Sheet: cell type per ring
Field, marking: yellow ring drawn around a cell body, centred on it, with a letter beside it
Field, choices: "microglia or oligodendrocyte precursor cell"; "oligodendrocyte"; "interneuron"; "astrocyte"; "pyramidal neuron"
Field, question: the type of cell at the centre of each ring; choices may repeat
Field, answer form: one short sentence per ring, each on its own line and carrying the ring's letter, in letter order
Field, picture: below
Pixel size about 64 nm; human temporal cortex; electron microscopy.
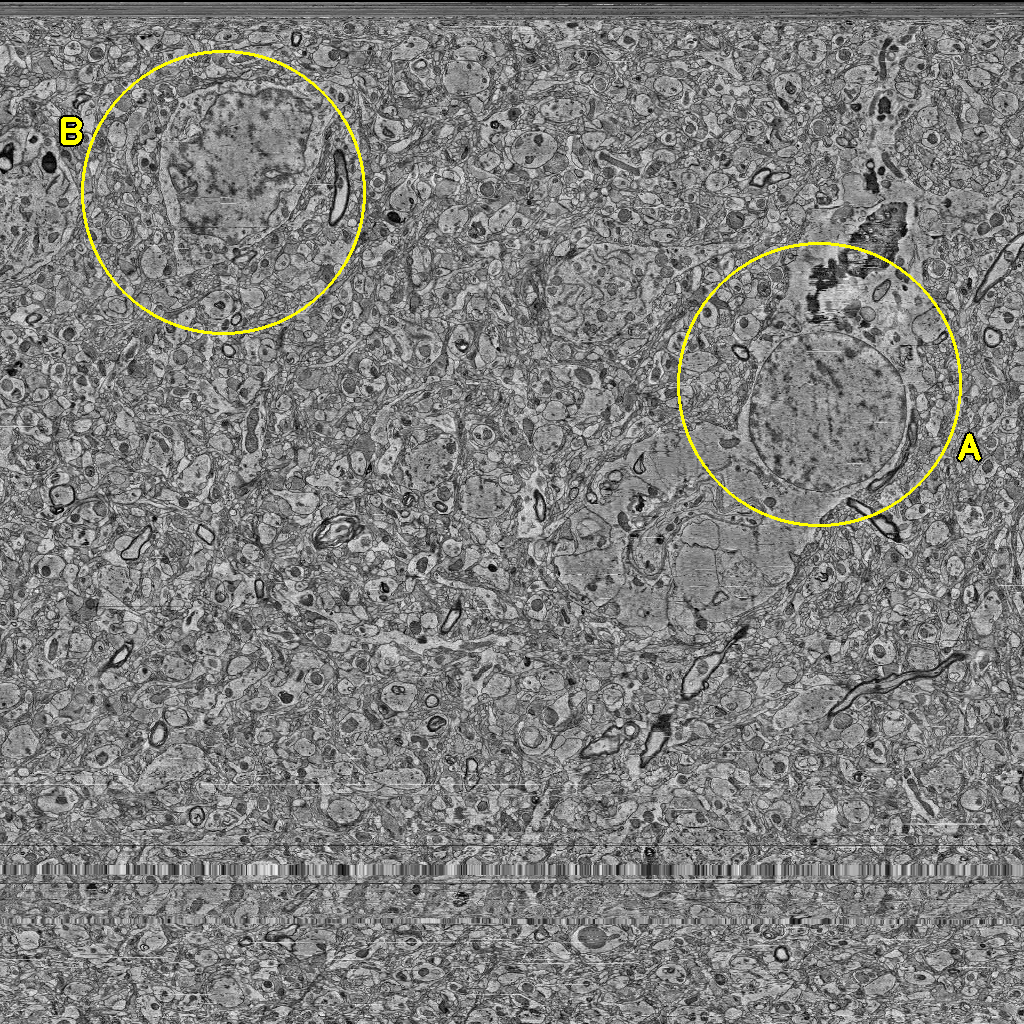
The cell body inside ring A, at its centre, is an astrocyte.
The cell body inside ring B, at its centre, is an interneuron.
